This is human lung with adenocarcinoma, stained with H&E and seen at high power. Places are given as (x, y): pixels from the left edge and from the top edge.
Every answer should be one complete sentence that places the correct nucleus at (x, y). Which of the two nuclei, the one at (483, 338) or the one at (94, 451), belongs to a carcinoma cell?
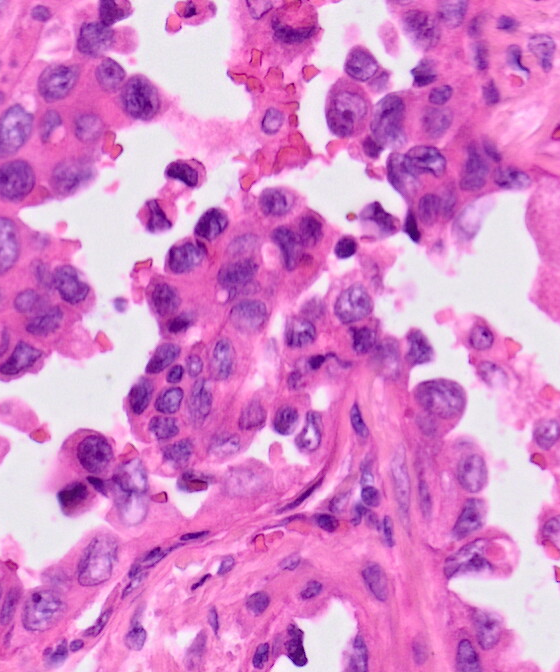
Of the two nuclei, that at (94, 451) is the nucleus of a carcinoma cell.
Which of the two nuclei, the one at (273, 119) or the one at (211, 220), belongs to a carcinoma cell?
The one at (211, 220) is the nucleus belonging to a carcinoma cell, not the other one.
